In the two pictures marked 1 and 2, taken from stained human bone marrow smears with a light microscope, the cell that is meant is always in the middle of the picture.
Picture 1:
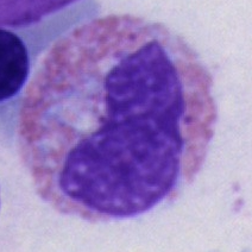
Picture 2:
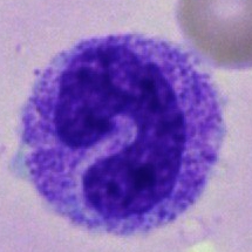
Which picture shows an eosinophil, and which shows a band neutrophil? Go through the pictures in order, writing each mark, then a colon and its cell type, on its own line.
1: eosinophil
2: band neutrophil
